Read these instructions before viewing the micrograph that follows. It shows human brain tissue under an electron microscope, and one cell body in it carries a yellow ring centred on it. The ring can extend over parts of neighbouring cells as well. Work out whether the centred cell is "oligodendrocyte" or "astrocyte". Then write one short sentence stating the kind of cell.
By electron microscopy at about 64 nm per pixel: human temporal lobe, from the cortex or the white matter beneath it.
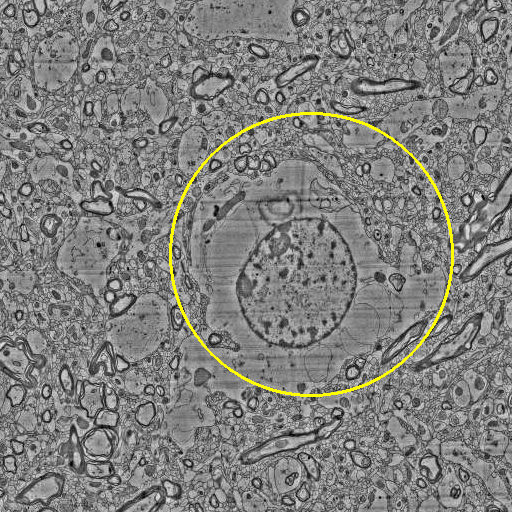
The ringed cell is an astrocyte.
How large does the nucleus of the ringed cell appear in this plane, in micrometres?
The ringed cell's nucleus is about 9 micrometres long and 7 micrometres wide in this plane.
